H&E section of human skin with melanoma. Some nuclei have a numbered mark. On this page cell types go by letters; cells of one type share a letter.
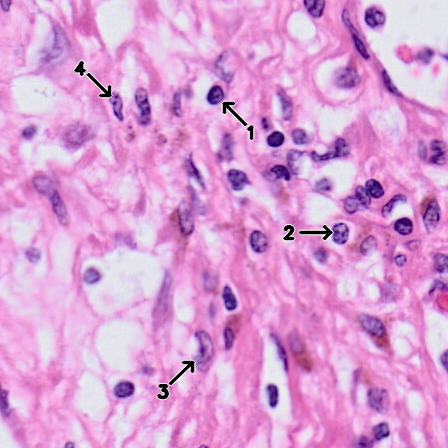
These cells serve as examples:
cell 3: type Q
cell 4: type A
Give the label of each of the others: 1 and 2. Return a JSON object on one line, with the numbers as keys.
{"1": "type A", "2": "type A"}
